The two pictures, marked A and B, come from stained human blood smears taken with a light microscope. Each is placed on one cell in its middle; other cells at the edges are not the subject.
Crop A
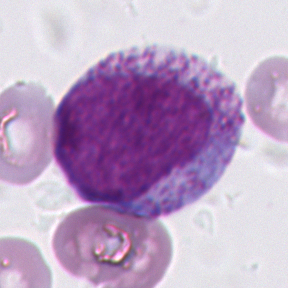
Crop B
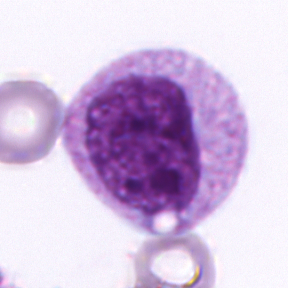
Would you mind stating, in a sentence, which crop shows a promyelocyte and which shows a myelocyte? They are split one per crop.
Crop A should be reported as a promyelocyte, and crop B as a myelocyte.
